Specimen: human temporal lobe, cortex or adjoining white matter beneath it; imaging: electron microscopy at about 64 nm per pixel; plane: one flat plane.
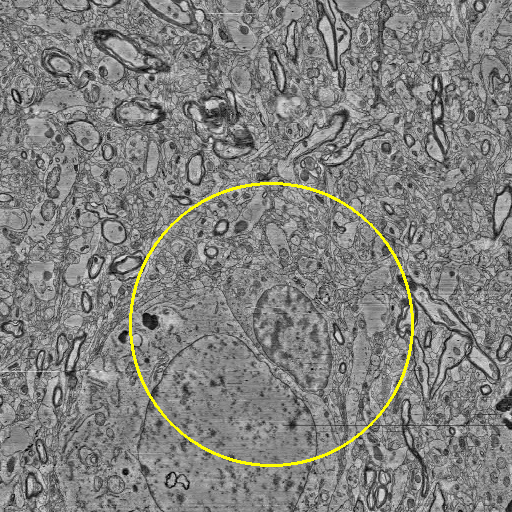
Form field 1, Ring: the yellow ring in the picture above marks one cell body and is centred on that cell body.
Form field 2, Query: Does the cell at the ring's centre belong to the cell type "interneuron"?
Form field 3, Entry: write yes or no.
no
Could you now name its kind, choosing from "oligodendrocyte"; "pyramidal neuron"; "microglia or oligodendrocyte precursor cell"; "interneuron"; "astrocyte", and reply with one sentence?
That cell in the ring is an oligodendrocyte instead.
